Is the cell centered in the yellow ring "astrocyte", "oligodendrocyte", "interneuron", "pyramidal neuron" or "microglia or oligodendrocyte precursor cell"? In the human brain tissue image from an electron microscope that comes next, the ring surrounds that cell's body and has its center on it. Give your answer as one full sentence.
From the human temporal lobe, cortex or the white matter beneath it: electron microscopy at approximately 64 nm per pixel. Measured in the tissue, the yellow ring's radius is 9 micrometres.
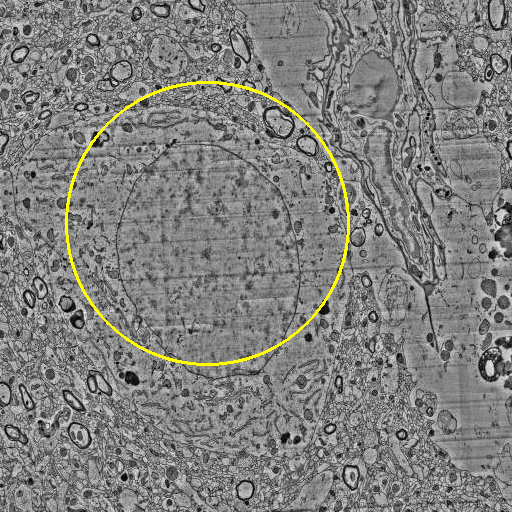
The cell at the center of the yellow ring is a pyramidal neuron in the micrograph.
